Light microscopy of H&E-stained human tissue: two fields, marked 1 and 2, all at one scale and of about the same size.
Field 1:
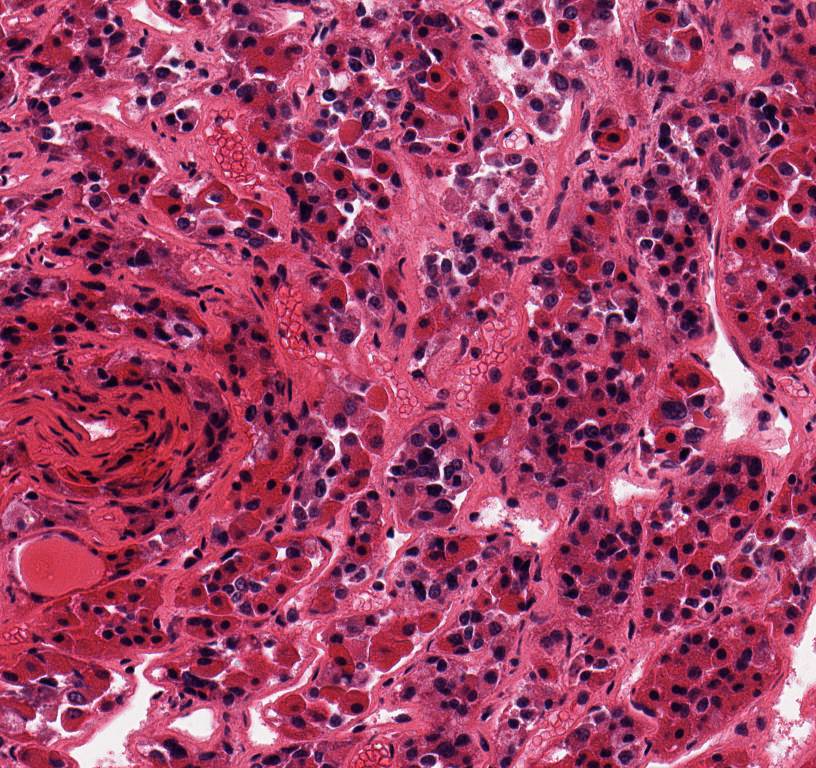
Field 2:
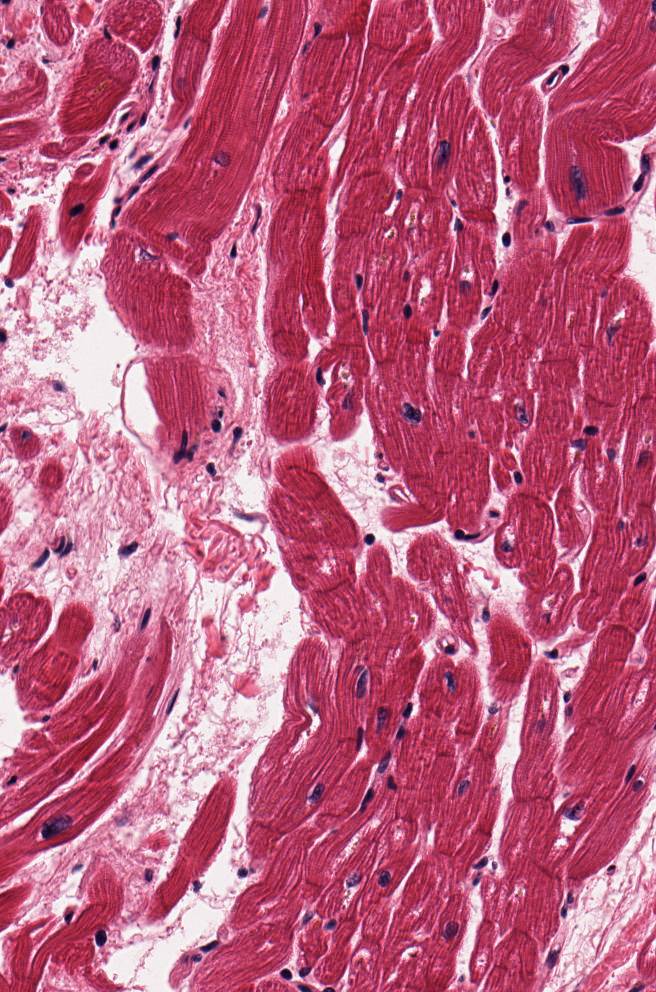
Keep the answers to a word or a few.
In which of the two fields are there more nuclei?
1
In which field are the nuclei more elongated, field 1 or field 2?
2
